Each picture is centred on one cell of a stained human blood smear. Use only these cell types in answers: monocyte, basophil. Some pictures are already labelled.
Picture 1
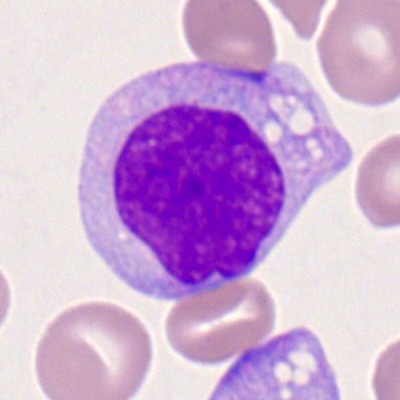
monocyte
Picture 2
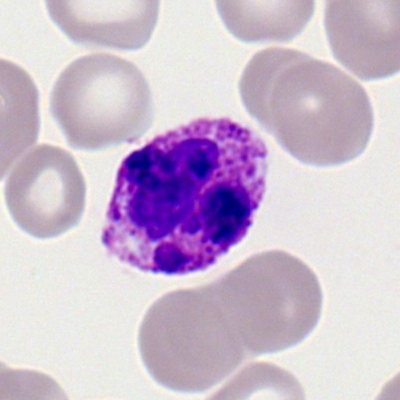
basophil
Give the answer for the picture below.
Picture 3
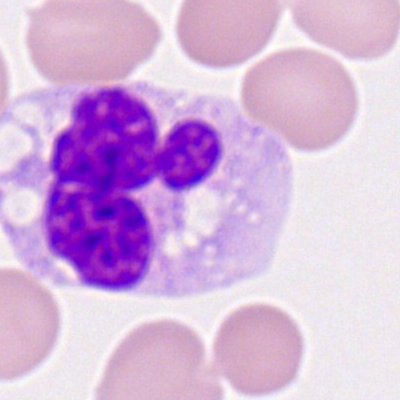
monocyte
